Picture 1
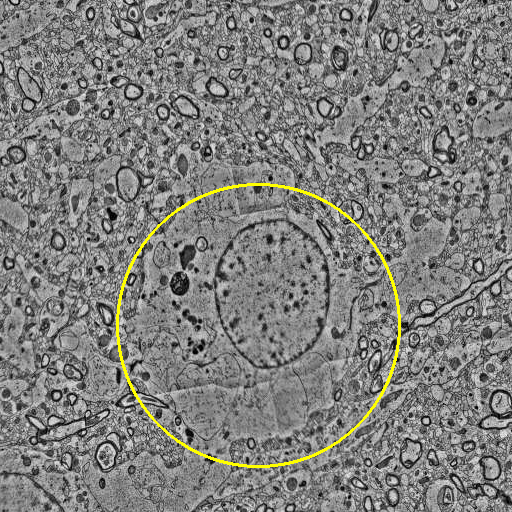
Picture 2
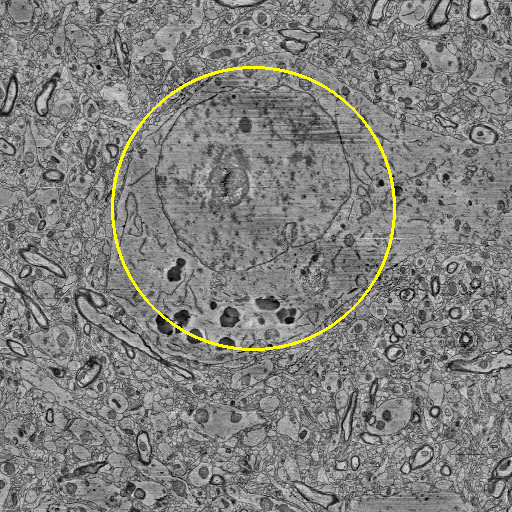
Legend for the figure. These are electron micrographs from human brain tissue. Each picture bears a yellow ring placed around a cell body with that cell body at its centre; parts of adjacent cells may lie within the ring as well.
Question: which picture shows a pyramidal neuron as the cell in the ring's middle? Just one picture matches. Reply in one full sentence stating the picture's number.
It is picture 2 whose yellow ring is centred on the requested cell.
